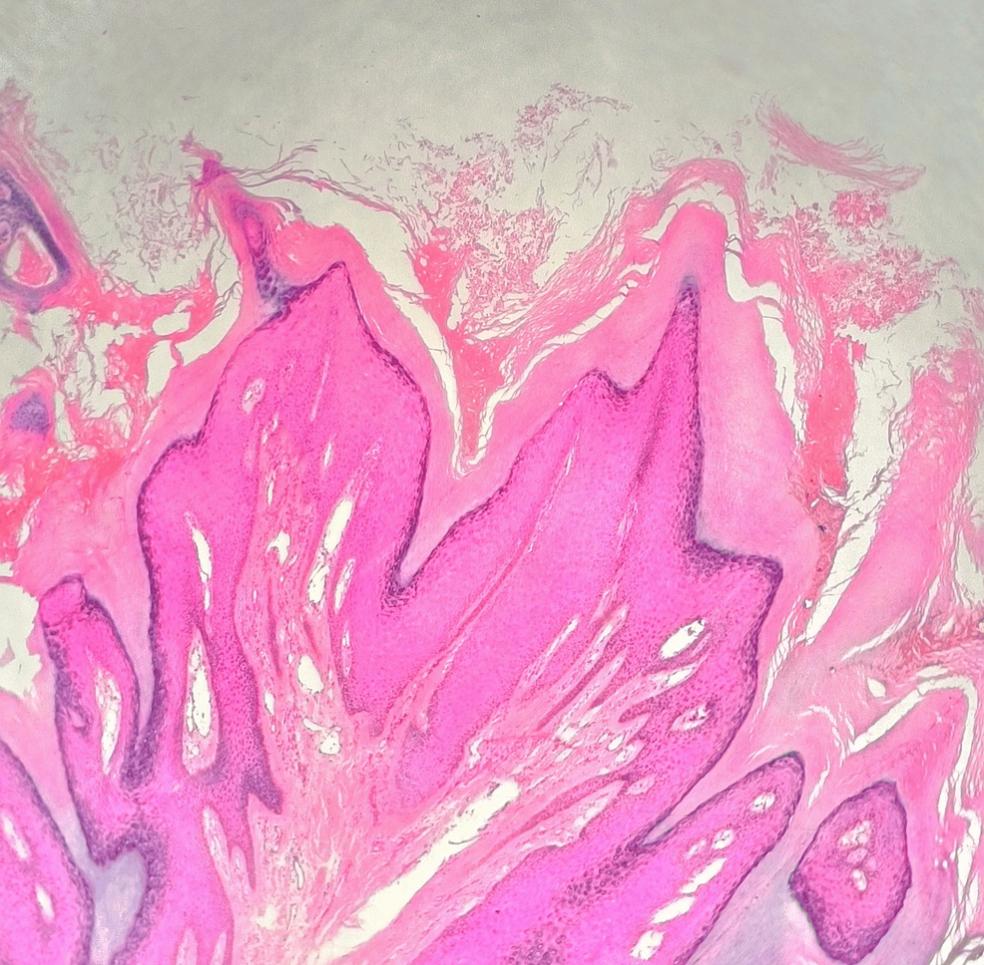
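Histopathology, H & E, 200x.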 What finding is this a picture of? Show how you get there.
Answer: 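The epidermis is thrown up into tall, narrow, pointed projections. Cores of pale dermal tissue with vessels run up inside the projections.
Hence: papillomatosis.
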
